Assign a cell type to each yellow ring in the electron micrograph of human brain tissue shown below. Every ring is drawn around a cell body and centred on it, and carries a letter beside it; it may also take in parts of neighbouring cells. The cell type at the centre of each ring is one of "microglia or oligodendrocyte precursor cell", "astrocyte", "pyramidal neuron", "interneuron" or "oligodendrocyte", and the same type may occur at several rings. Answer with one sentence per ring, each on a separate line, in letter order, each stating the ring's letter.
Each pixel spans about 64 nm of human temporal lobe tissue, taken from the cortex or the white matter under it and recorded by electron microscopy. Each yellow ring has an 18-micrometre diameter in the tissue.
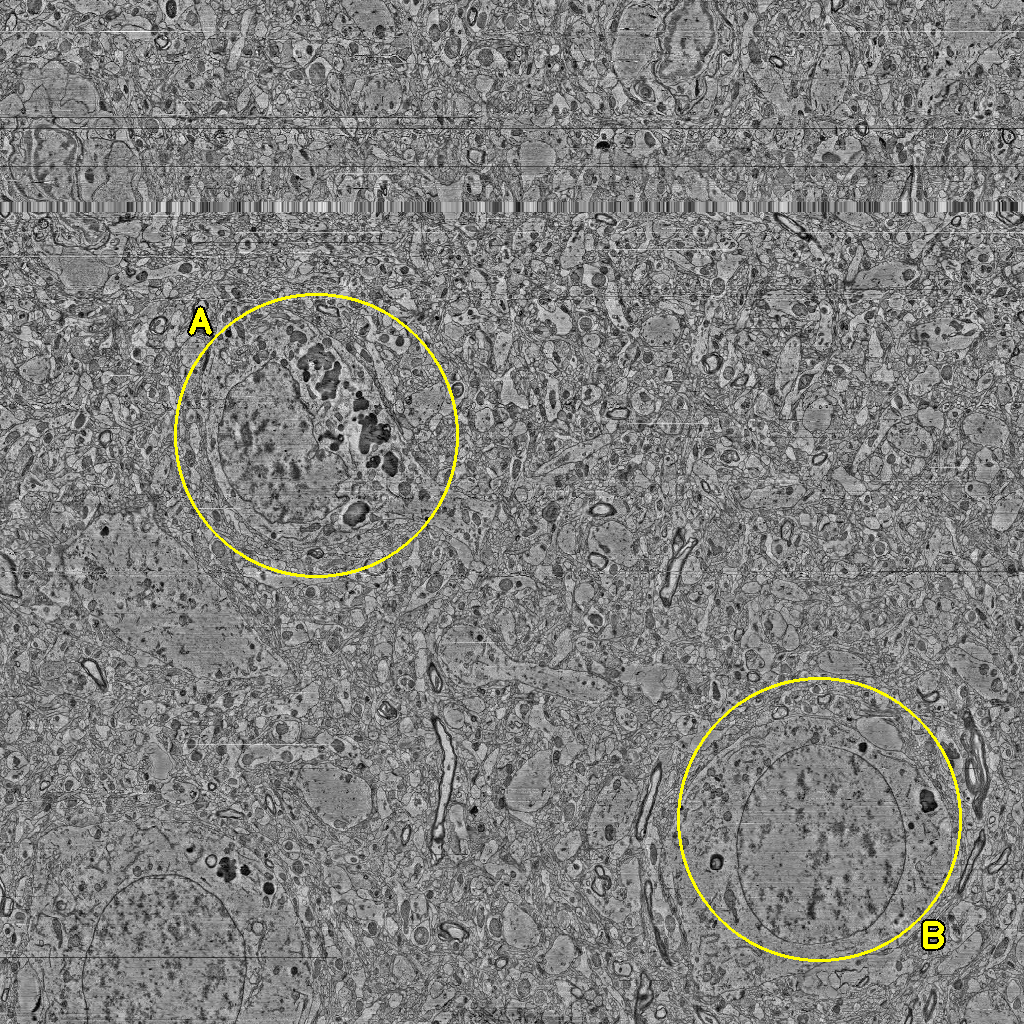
The cell at ring A's centre is an interneuron.
The cell at ring B's centre is a pyramidal neuron.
